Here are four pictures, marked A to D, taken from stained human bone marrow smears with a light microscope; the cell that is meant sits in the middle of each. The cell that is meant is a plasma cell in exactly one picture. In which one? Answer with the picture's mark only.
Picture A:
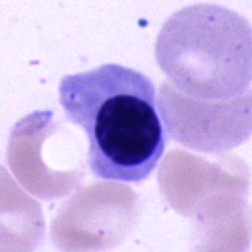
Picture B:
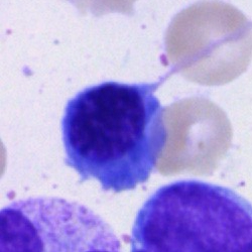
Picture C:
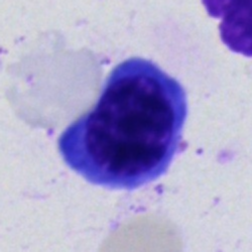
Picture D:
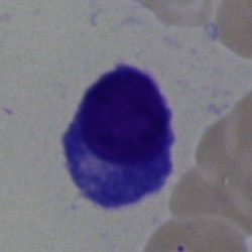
D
